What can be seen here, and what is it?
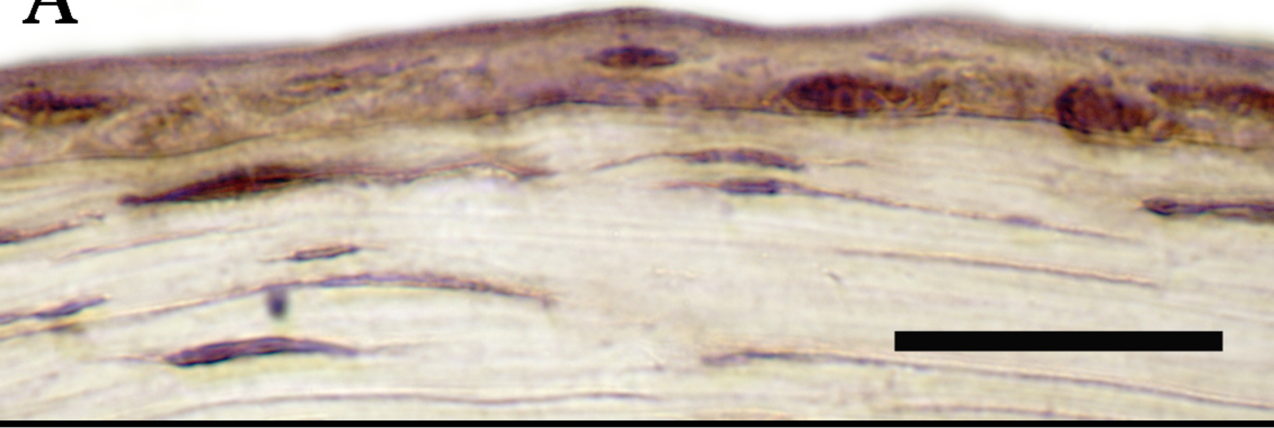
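A thin corneal epithelium covers the stroma, its cells mostly pale yellowish-brown with only a few oval nuclei in the basal and suprabasal positions stained darker brown. The underlying stroma shows pale parallel lamellae with elongated, flattened cells lying between them.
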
